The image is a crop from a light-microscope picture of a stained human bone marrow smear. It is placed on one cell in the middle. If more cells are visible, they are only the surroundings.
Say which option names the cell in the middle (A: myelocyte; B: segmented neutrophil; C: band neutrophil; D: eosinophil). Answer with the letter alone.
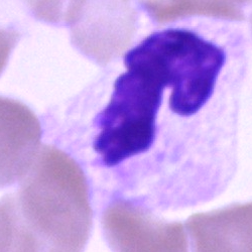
C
